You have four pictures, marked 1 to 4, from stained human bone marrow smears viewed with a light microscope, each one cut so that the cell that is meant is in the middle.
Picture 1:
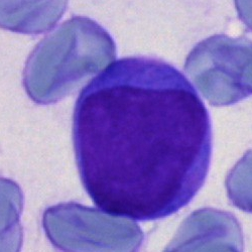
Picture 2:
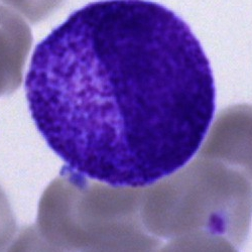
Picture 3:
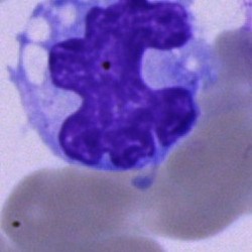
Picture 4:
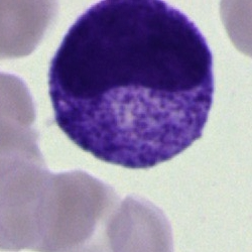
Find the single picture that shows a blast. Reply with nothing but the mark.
1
